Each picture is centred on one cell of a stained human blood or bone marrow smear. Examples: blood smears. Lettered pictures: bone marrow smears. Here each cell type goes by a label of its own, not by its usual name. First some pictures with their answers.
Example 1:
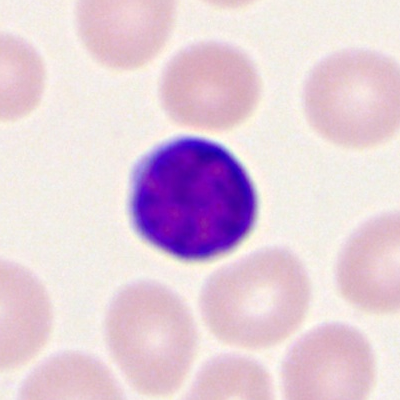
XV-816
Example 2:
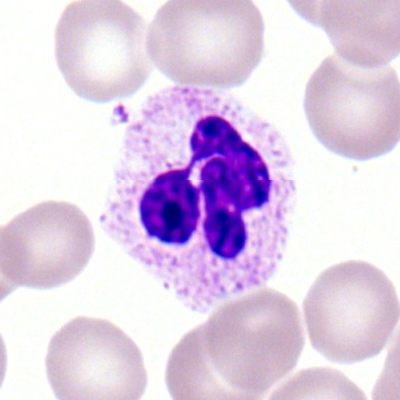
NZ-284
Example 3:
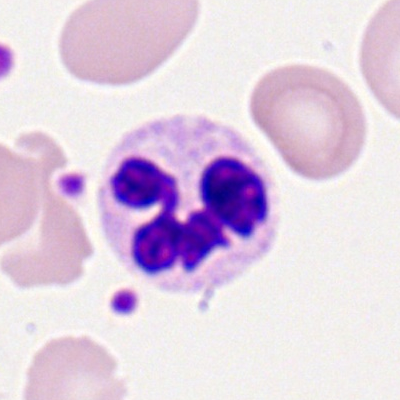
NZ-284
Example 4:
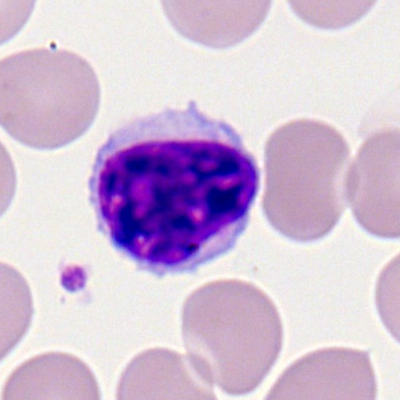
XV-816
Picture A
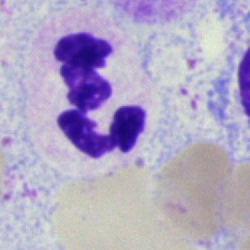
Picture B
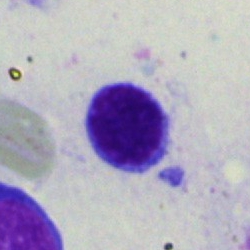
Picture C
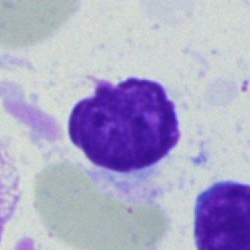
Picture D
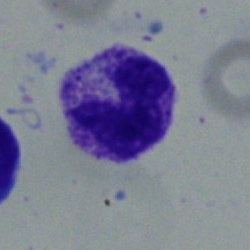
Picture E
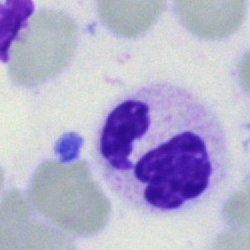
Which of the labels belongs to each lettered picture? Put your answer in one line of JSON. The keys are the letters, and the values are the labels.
{"A": "NZ-284", "B": "XV-816", "C": "XV-816", "D": "NZ-284", "E": "NZ-284"}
